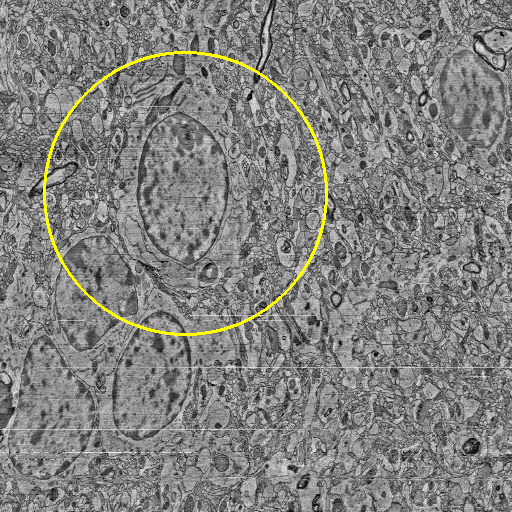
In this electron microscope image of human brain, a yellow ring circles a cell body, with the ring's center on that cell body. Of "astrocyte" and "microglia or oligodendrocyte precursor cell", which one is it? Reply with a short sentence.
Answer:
It is an astrocyte at the center of the ring.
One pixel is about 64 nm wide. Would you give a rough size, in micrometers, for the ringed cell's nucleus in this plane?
About 10 by 6 micrometers in this plane, so the nucleus is clearly longer than it is wide.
